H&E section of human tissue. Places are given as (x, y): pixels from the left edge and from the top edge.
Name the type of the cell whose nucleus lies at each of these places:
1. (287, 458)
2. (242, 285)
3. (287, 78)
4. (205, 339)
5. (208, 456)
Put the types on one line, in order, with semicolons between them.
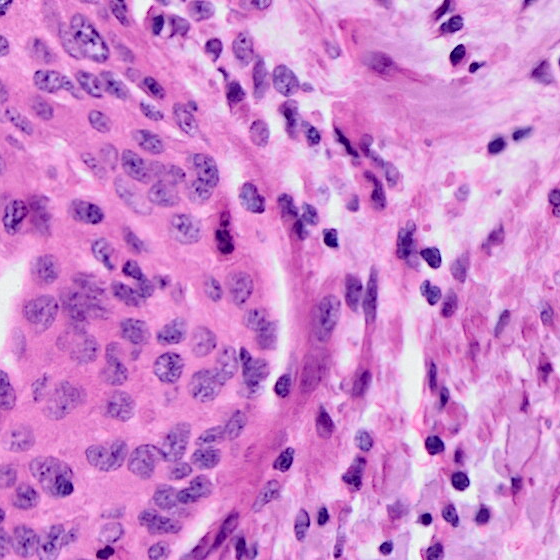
lymphocyte; squamous carcinoma cell; fibroblast; squamous carcinoma cell; squamous carcinoma cell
